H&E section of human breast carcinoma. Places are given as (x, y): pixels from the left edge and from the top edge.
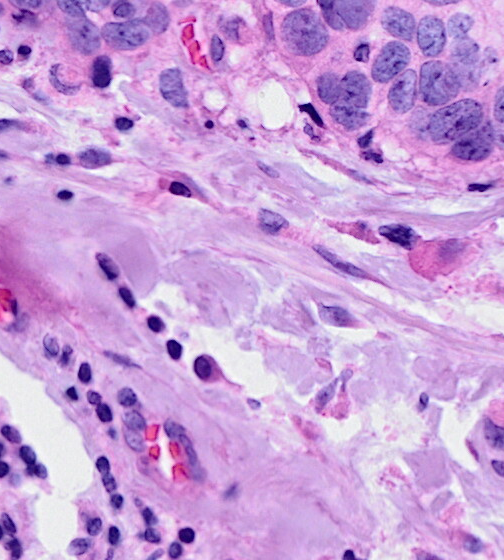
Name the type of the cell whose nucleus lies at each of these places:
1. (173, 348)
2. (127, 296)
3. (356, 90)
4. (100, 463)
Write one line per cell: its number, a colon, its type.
1: lymphocyte
2: lymphocyte
3: carcinoma cell
4: lymphocyte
